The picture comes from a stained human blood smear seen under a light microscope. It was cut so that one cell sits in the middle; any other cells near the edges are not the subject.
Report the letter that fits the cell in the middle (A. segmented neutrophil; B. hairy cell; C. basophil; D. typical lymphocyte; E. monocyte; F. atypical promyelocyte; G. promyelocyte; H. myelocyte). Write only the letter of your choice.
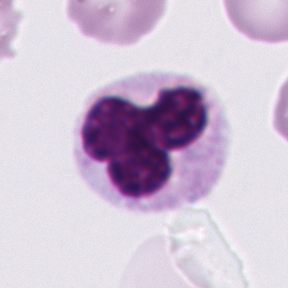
A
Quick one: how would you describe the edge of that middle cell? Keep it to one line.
Happy to help: the outline is smooth and shows no projections.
